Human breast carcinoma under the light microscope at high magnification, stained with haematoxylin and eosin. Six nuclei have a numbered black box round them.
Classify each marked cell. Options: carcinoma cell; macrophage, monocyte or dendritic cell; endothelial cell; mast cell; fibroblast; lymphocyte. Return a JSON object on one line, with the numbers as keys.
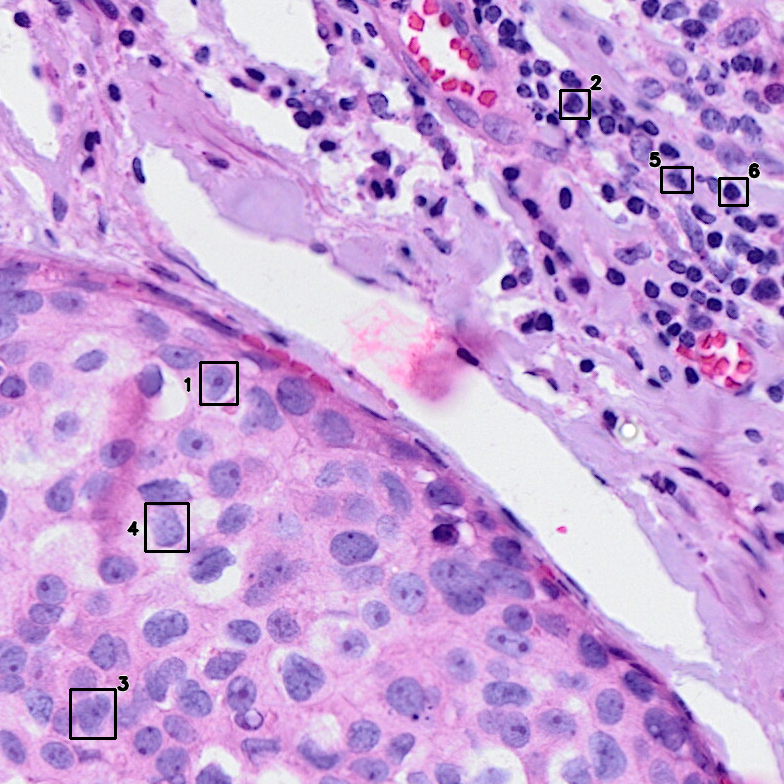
{"1": "carcinoma cell", "2": "lymphocyte", "3": "carcinoma cell", "4": "carcinoma cell", "5": "lymphocyte", "6": "lymphocyte"}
